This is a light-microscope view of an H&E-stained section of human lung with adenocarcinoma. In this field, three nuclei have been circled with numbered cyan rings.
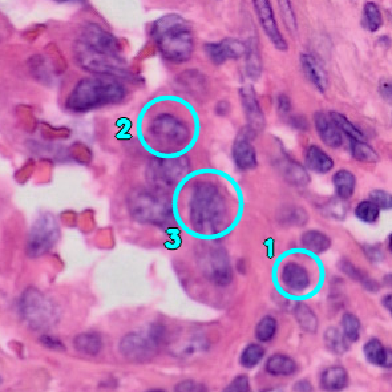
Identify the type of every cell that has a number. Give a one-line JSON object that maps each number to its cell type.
{"1": "lymphocyte", "2": "carcinoma cell", "3": "carcinoma cell"}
